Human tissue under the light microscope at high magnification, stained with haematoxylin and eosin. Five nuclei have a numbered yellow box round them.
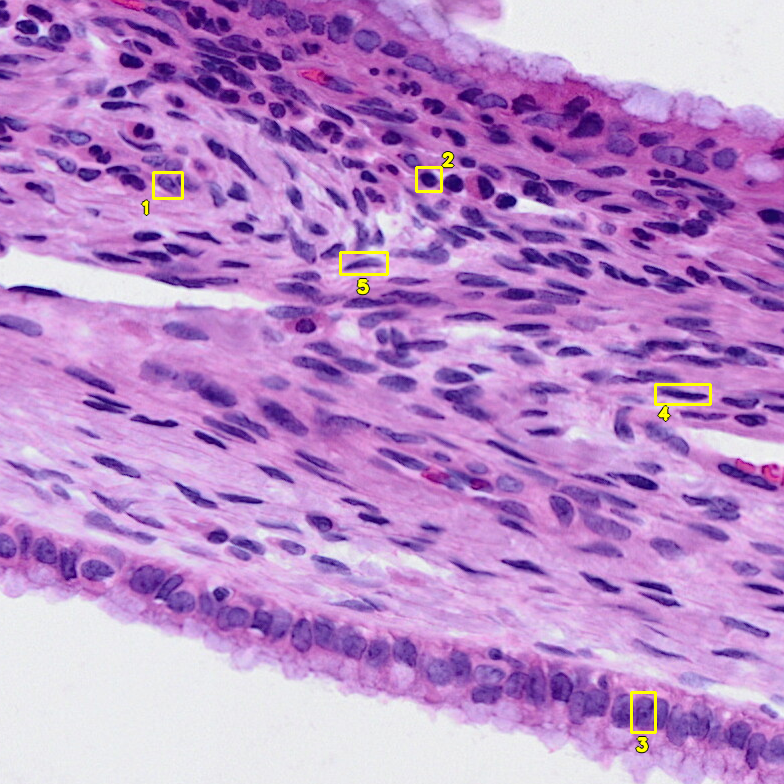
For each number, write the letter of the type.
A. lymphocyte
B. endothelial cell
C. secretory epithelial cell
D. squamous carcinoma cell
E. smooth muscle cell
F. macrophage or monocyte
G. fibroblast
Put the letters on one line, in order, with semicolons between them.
B; A; C; G; G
